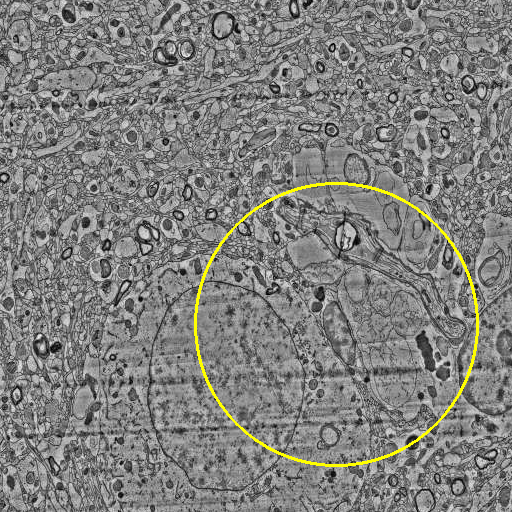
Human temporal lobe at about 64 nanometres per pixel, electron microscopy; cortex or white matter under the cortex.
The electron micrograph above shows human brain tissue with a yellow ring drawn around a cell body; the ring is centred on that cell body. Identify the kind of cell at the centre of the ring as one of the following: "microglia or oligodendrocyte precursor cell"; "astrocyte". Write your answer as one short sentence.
The cell at the centre of the ring is a microglial cell or oligodendrocyte precursor cell.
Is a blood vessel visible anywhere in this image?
Yes, a vessel appears in the picture.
